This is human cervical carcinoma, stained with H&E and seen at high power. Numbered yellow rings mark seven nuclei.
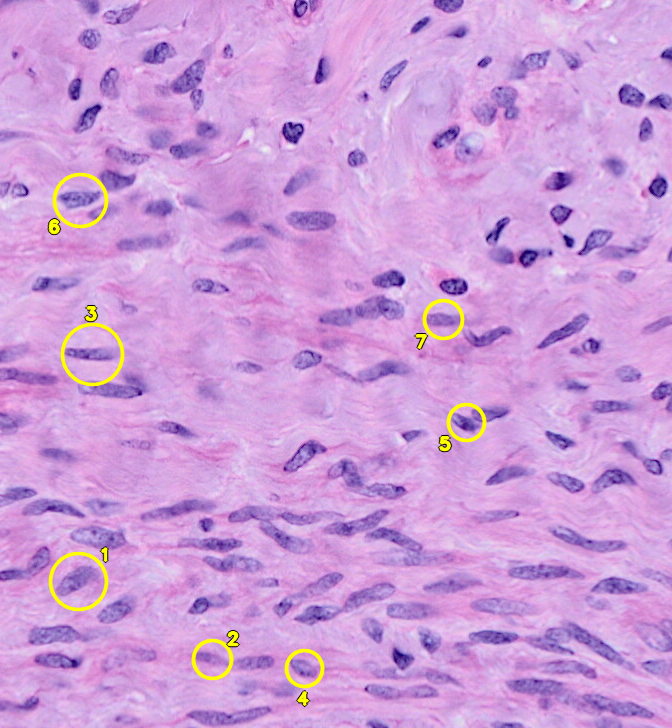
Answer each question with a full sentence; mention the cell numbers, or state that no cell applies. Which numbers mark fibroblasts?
Into the category of fibroblasts fall the cells numbered 3, 5 and 6.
